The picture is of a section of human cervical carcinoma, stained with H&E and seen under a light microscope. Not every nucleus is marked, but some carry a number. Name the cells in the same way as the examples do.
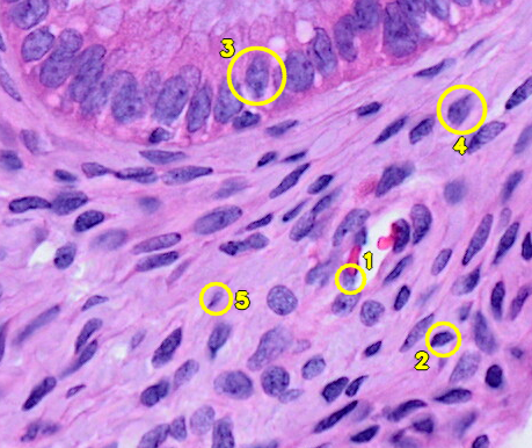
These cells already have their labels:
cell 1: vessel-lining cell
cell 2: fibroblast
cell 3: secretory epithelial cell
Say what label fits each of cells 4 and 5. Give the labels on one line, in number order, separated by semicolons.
fibroblast; fibroblast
